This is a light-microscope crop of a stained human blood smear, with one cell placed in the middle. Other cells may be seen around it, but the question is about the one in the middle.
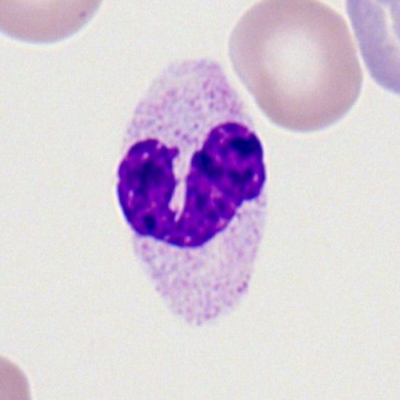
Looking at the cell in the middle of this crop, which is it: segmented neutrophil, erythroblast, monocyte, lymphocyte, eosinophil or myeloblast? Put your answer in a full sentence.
In the center of this field lies a segmented neutrophil.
